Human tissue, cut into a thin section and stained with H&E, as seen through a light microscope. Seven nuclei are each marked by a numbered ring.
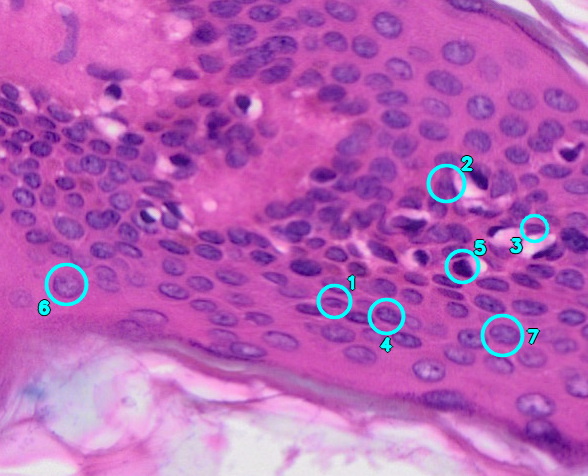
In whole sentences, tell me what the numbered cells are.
Cell 1 is a suprabasal keratinocyte, cell 2 is a basal keratinocyte, cell 3 is a basal keratinocyte, cell 4 is a suprabasal keratinocyte, cell 5 is a basal keratinocyte, cell 6 is a suprabasal keratinocyte and cell 7 is a suprabasal keratinocyte.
